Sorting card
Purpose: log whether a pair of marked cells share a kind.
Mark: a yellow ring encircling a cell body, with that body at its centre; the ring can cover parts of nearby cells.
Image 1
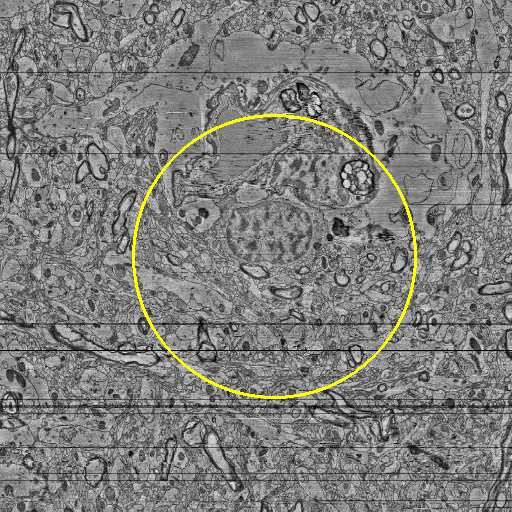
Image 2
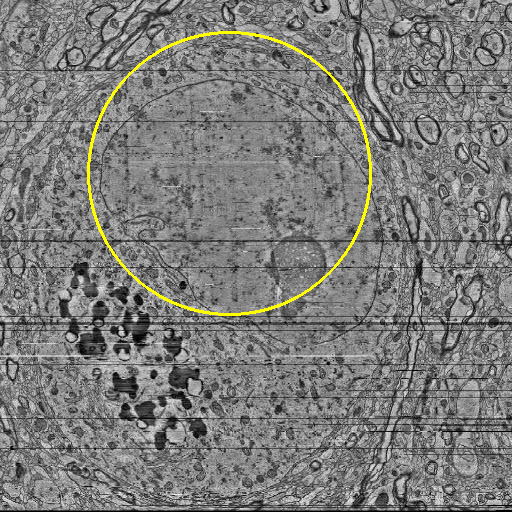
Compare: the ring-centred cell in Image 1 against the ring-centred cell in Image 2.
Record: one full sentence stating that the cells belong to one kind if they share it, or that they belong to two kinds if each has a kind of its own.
Across Images 1 and 2, the two ring-centred cells belong to two kinds.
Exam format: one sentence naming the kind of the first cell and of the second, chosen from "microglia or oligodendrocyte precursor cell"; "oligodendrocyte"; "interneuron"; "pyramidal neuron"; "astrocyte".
The first picture's cell is an oligodendrocyte, and the second picture's cell is a pyramidal neuron.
